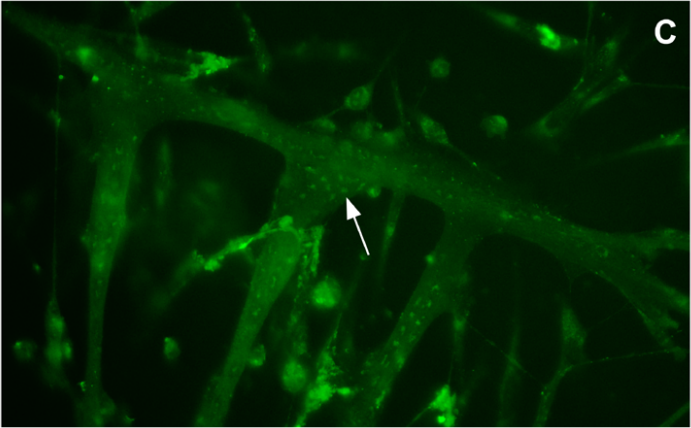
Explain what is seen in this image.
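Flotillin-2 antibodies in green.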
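Cultured muscle cells with wide multinucleated myotubes forming a branching network across the field. The myotube cytoplasm is evenly green with many fine dots scattered over it. Small rounded and spindle-shaped cells, some bright green, sit beside and over the myotubes, with thin processes extending between them.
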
